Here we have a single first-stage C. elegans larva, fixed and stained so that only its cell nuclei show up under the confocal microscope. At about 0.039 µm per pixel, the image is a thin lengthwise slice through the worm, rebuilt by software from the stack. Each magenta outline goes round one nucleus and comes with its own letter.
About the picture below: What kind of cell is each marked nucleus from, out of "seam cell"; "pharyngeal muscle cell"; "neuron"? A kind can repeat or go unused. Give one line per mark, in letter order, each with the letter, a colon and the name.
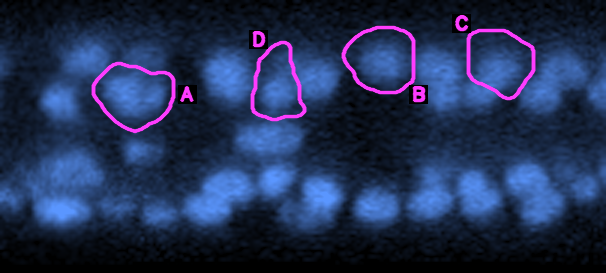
A: pharyngeal muscle cell
B: neuron
C: neuron
D: neuron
